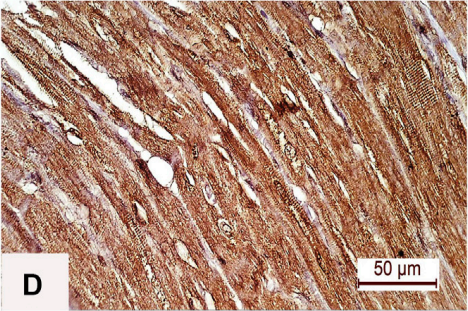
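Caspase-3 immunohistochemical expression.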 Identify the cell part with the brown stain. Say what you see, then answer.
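Cardiac myofibrils. Dense brown stain fills the elongated muscle fibers. Cross-striations are visible within the stained fibers.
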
